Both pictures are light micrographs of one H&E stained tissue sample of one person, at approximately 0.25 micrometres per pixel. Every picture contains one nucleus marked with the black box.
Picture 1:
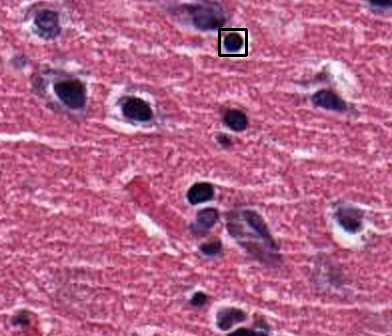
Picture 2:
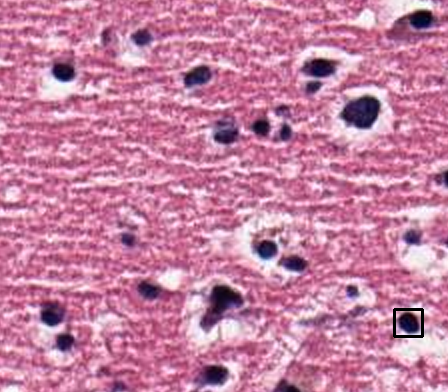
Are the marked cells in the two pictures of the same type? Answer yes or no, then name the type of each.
Yes, both are oligodendrocytes.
